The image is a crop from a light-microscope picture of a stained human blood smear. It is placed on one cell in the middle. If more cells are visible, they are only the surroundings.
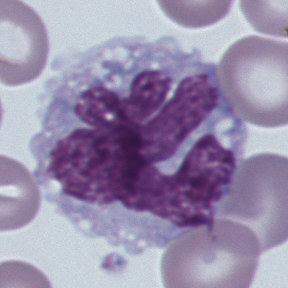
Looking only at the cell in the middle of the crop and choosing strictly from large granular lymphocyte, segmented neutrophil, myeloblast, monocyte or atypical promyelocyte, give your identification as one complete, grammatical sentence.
The cell nearest the centre of this crop is a monocyte.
